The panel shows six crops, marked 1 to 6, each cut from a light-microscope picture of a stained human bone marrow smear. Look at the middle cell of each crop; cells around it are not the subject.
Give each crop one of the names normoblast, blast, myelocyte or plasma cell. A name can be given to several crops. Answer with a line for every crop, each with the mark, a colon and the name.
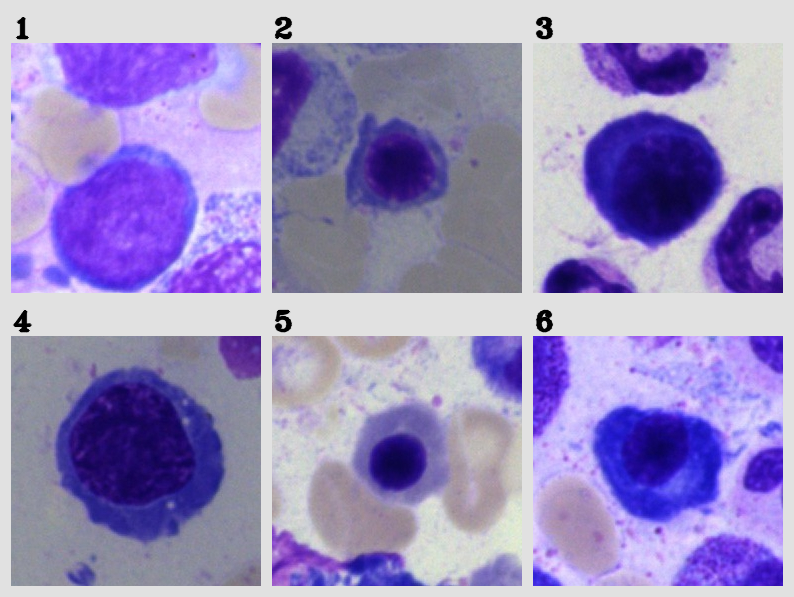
1: blast
2: normoblast
3: plasma cell
4: normoblast
5: normoblast
6: plasma cell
